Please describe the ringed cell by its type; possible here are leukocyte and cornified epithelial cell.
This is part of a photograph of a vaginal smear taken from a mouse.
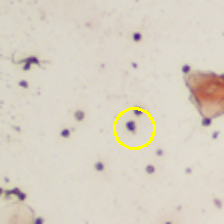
The yellow ring marks a leukocyte.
